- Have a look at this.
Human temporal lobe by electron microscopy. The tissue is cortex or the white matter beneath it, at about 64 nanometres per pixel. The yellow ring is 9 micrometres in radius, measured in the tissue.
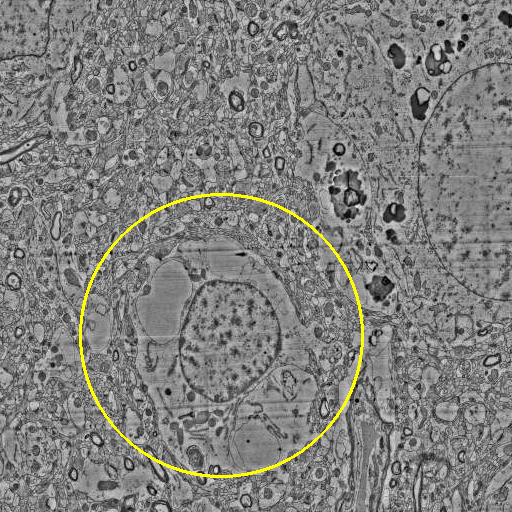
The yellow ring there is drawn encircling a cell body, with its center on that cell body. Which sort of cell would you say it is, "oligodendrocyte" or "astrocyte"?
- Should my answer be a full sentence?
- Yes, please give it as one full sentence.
For this picture, an astrocyte is the cell where the yellow ring has its center.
